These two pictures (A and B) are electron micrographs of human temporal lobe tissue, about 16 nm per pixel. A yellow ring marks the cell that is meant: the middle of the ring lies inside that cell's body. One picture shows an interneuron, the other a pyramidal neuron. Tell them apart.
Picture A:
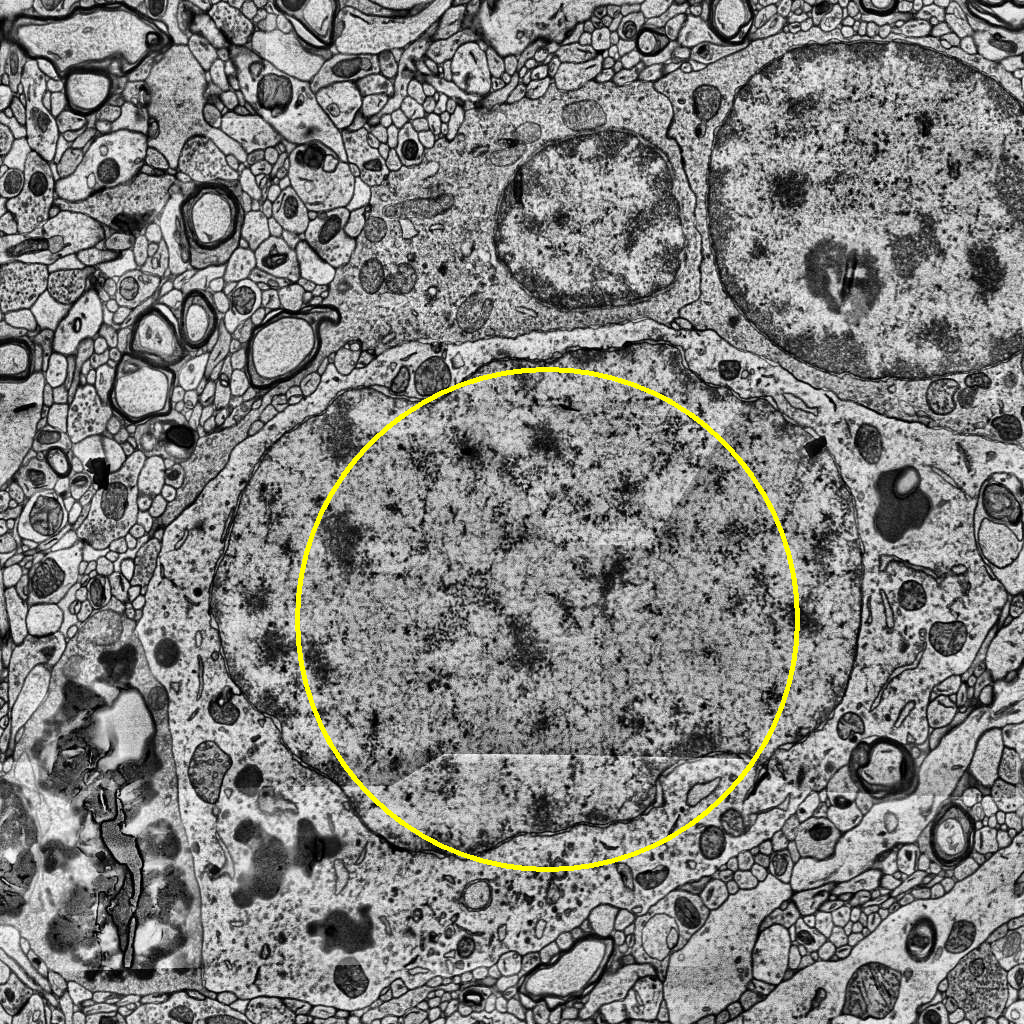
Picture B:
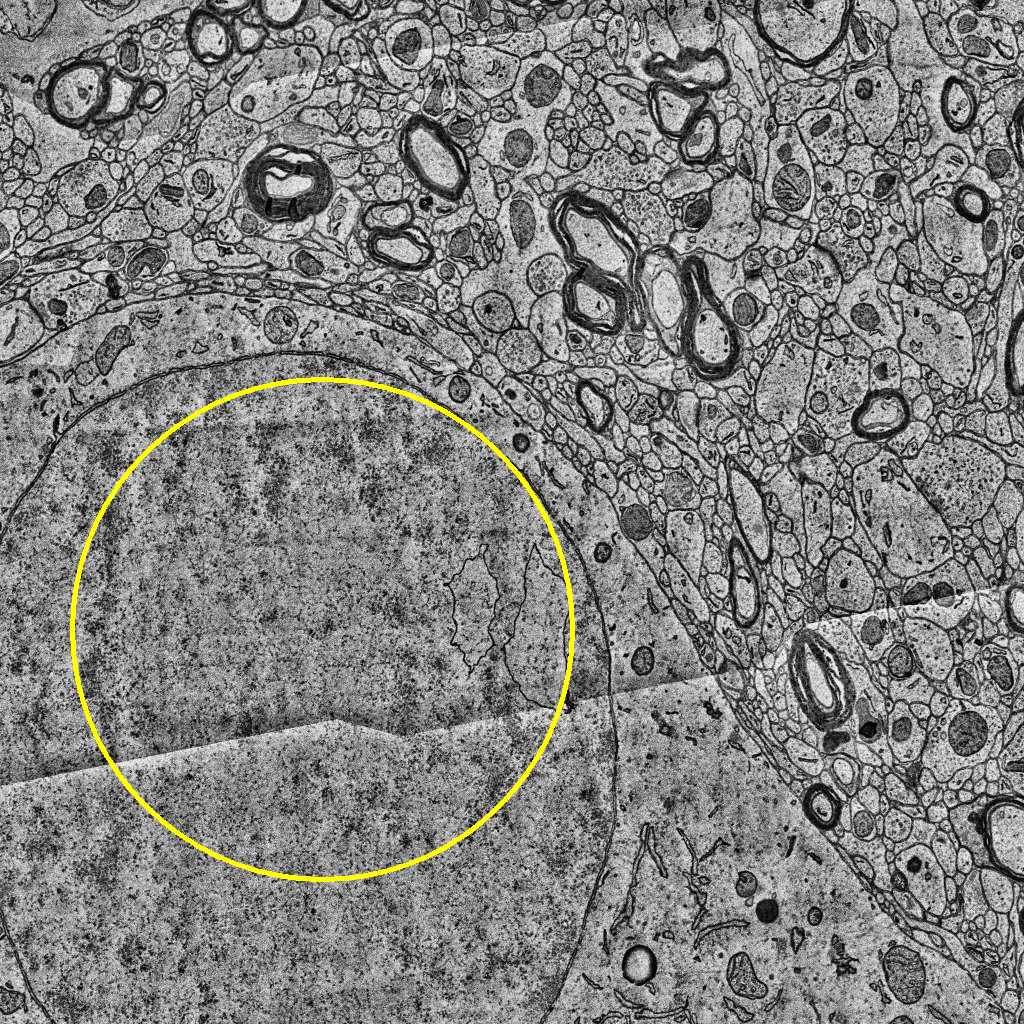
It is picture A that shows an interneuron, and picture B that shows a pyramidal neuron.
